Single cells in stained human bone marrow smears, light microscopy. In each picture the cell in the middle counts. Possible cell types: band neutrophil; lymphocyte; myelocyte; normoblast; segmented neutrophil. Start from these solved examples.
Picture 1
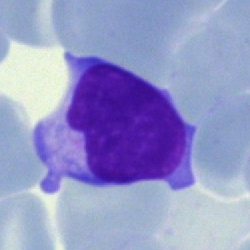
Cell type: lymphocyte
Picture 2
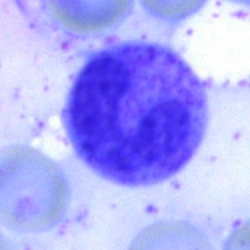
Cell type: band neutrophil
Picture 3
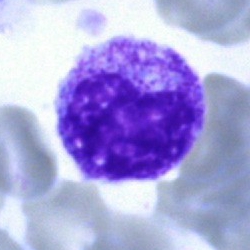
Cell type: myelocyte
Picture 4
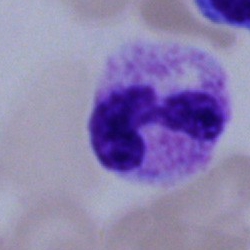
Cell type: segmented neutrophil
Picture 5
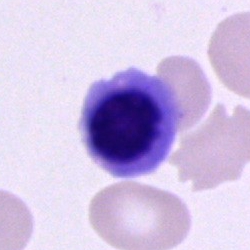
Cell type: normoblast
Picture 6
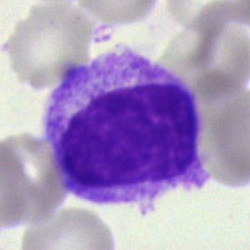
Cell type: myelocyte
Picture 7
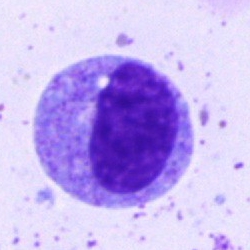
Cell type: myelocyte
